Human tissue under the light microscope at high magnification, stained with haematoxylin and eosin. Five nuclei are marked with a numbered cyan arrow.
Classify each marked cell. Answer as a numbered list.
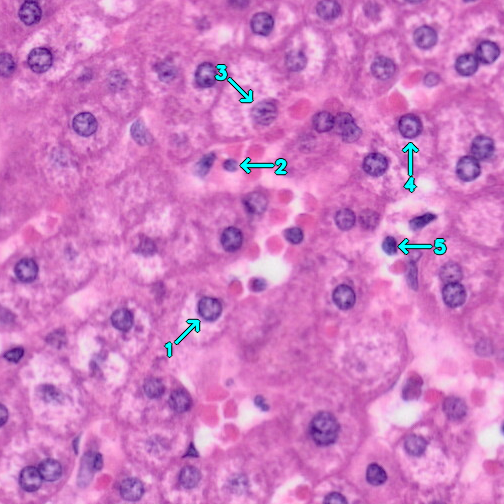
1. hepatocyte
2. lymphocyte
3. hepatocyte
4. hepatocyte
5. lymphocyte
